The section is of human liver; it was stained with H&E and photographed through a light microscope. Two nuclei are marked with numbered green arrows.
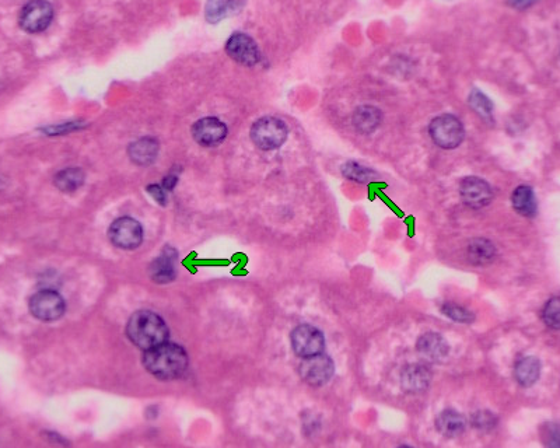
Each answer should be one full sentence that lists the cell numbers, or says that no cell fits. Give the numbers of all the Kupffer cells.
Cell 1 stands alone among the numbered cells as a Kupffer cell.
